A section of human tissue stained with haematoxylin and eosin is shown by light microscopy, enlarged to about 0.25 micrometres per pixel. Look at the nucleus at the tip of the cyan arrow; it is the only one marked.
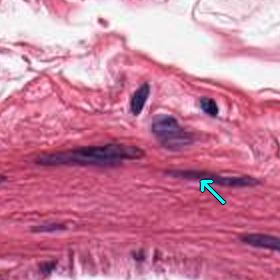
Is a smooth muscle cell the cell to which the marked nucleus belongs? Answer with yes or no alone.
yes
